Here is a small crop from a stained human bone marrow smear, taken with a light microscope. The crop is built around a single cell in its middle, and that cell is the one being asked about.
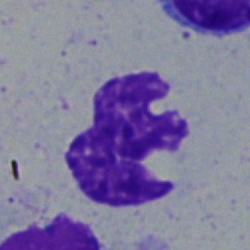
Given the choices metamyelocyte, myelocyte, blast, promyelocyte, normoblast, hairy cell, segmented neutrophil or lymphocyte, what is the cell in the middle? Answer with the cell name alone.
segmented neutrophil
